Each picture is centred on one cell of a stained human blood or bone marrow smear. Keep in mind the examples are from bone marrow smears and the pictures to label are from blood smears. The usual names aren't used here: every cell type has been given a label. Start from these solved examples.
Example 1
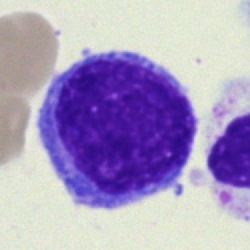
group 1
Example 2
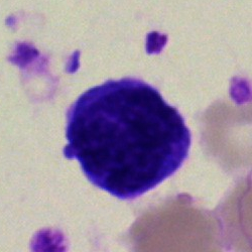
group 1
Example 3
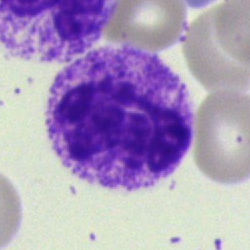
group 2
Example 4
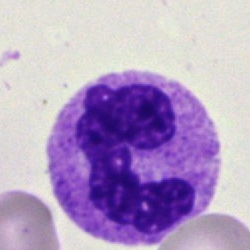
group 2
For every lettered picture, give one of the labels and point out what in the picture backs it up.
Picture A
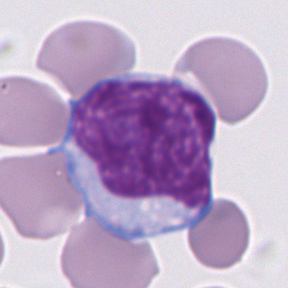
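Label: group 1. The nucleus fills most of the cell and sits toward the upper right.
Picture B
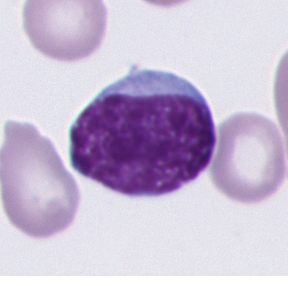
Label: group 1. The cytoplasm forms a narrow cap only along the top of the cell.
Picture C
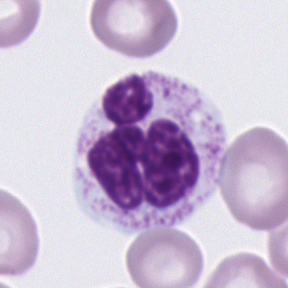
Label: group 2. The nucleus is divided into three lobes.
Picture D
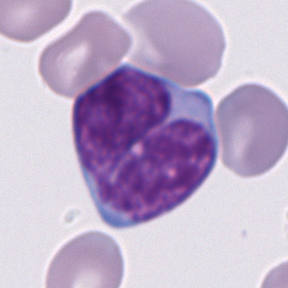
Label: group 1. The cytoplasm is a scant pale blue rim, widest at the upper right.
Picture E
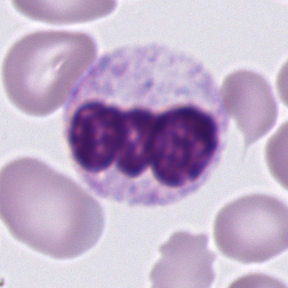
Label: group 2. The nucleus is divided into three lobes.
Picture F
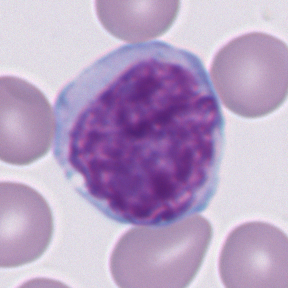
Label: group 1. The cytoplasm is a narrow pale blue rim around the nucleus.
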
